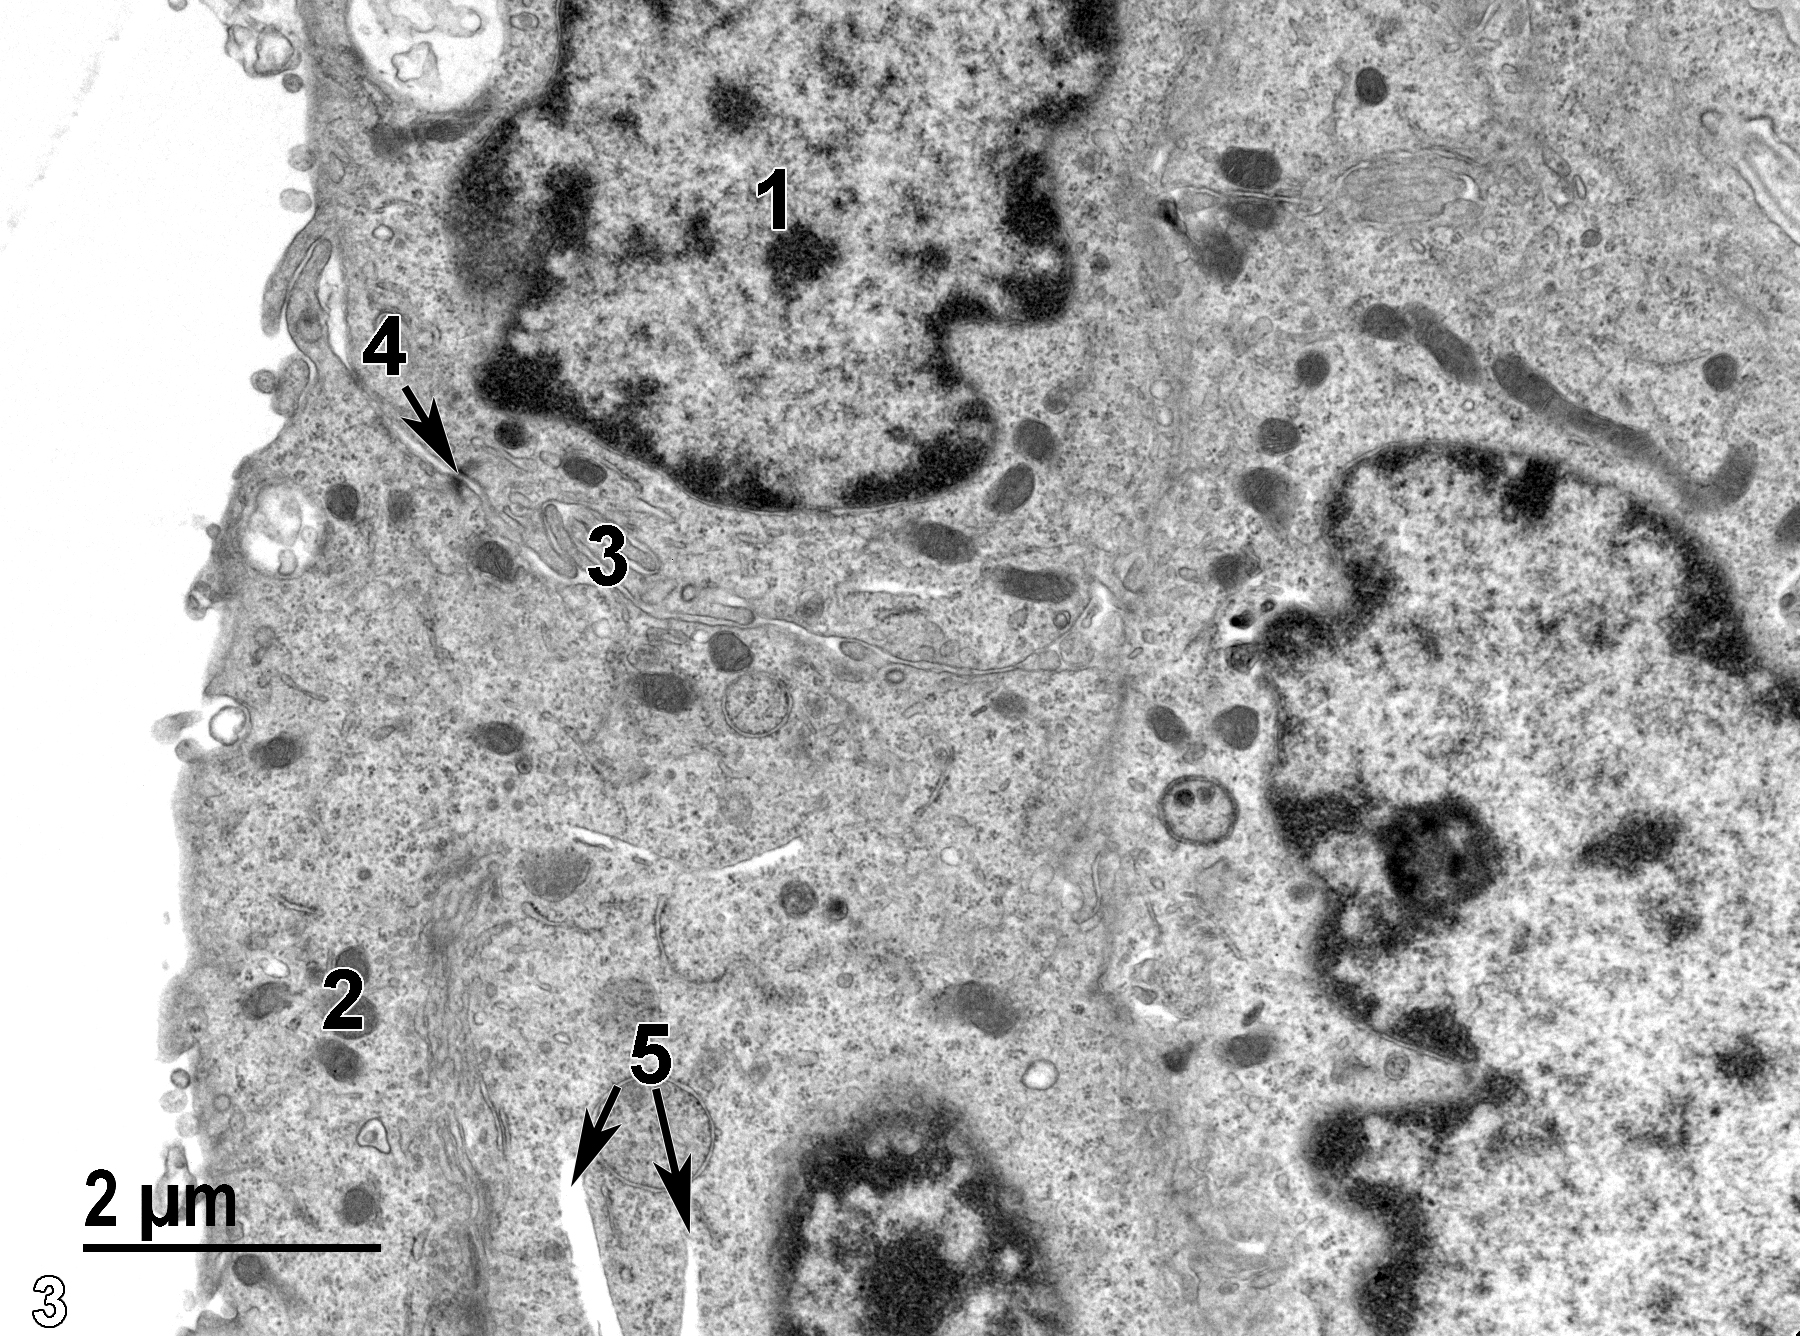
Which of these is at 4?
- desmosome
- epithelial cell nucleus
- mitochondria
desmosome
